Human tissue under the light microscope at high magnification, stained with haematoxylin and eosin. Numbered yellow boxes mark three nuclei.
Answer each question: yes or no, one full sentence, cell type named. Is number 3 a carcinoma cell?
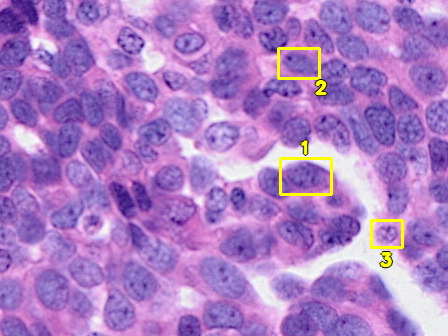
No, the cell at number 3 is a macrophage or monocyte instead of a carcinoma cell.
